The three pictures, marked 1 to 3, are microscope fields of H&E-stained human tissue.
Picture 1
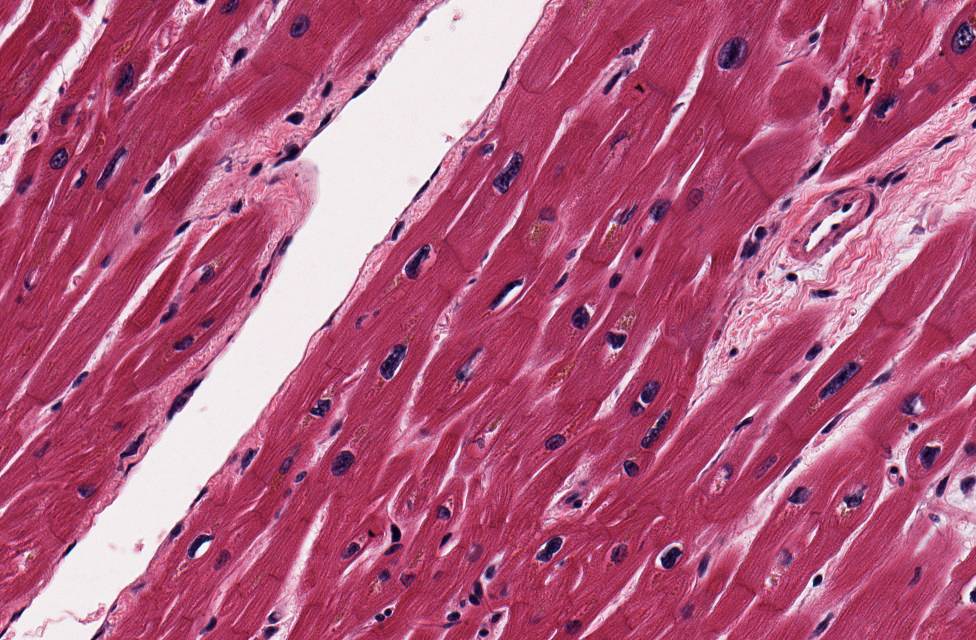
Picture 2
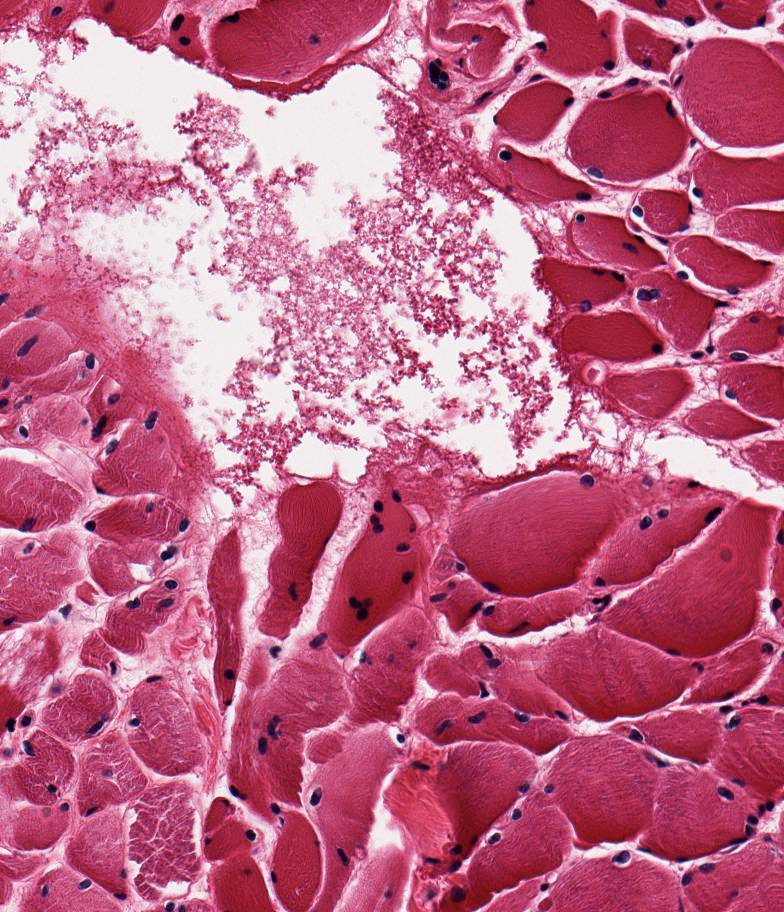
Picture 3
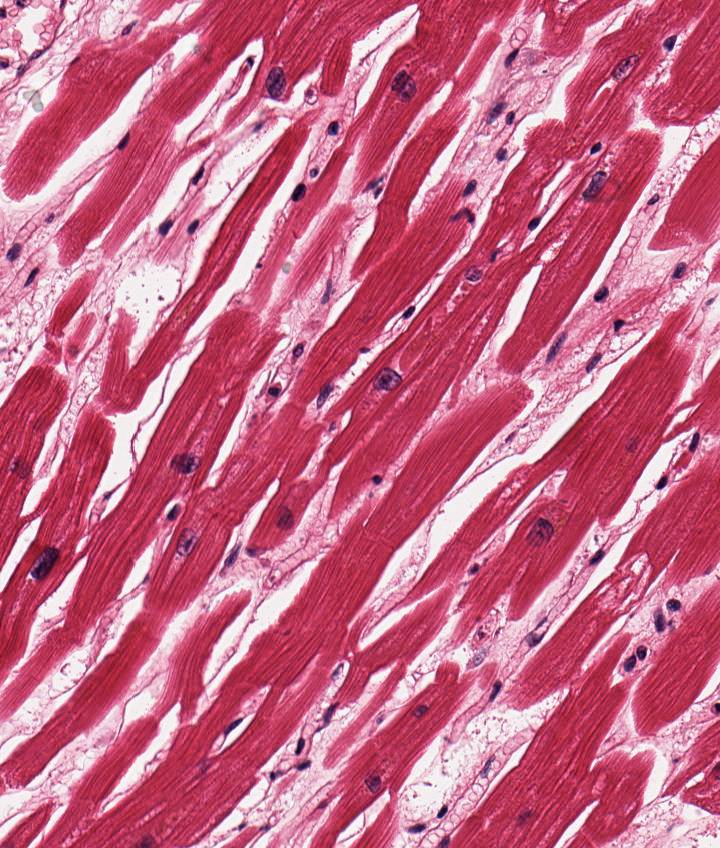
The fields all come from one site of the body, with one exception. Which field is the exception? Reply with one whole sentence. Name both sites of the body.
All pictures except 2 come from the left ventricle of the heart; picture 2 comes from skeletal muscle.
